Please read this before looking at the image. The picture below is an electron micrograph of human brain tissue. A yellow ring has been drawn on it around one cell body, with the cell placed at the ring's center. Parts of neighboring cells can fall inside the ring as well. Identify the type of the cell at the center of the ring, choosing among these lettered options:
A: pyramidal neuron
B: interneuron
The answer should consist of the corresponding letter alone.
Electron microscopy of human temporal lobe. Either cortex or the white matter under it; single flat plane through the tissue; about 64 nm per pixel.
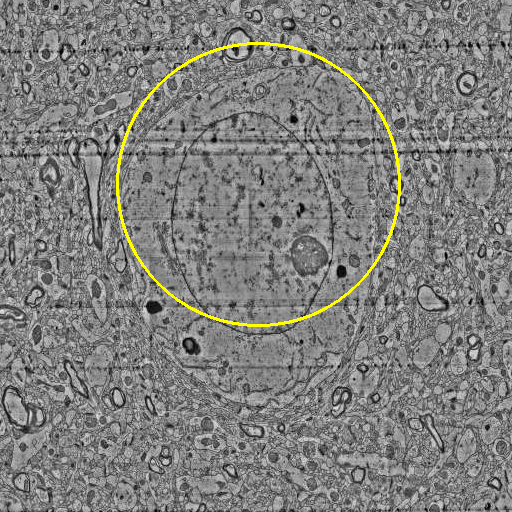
A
